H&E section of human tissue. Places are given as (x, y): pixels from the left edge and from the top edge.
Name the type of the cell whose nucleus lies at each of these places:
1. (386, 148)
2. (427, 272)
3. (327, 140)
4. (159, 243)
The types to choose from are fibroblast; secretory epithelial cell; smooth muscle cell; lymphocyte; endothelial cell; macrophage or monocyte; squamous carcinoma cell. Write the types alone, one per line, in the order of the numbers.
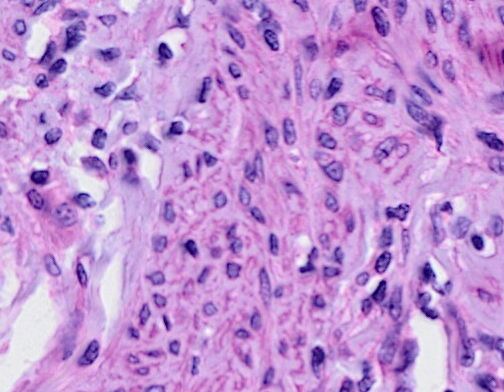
smooth muscle cell
lymphocyte
smooth muscle cell
smooth muscle cell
